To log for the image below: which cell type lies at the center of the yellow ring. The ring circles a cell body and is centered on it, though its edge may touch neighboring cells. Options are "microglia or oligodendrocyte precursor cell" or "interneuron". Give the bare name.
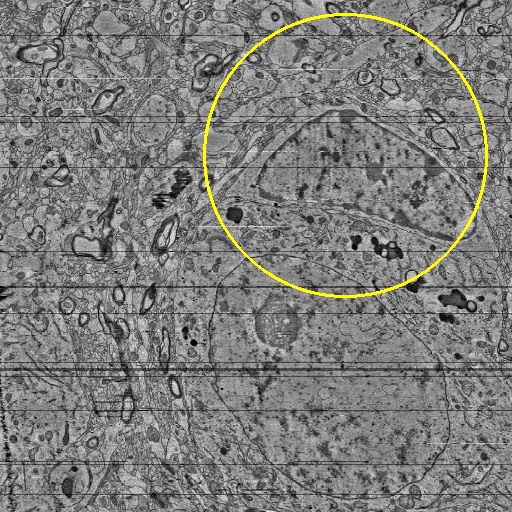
microglia or oligodendrocyte precursor cell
